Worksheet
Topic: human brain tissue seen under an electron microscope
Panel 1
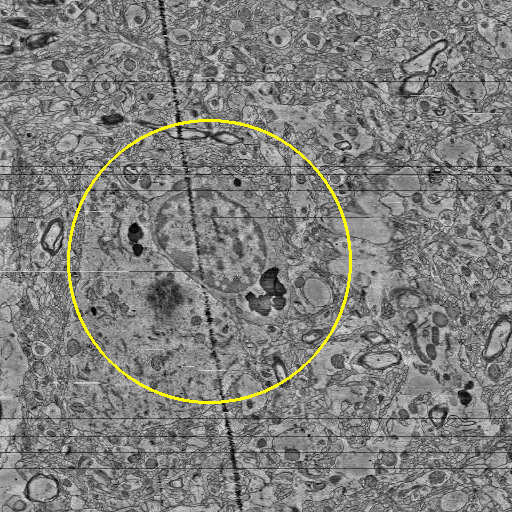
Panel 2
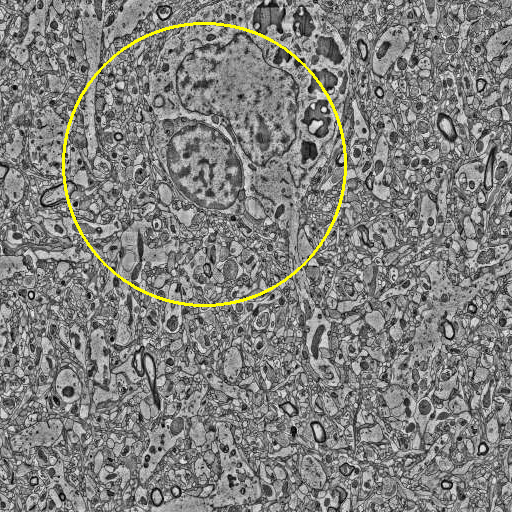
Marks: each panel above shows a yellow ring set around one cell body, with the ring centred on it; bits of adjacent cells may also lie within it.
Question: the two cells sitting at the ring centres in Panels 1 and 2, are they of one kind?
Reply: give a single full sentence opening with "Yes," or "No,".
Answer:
Yes, the two ring-centre cells in Panel 1 and Panel 2 are of one kind.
